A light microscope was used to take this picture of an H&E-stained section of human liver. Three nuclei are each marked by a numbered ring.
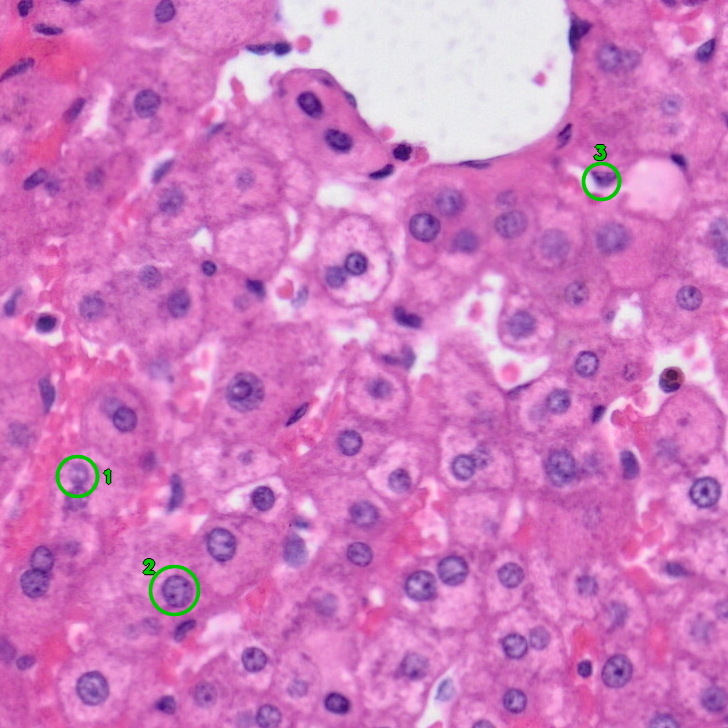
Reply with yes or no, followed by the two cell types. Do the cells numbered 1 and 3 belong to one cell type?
No, cell 1 is a hepatocyte and cell 3 is an endothelial cell.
